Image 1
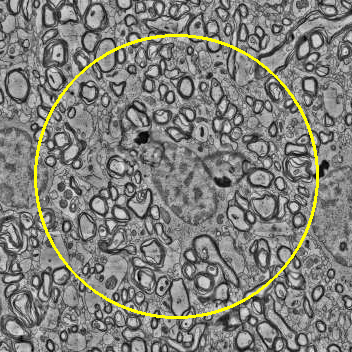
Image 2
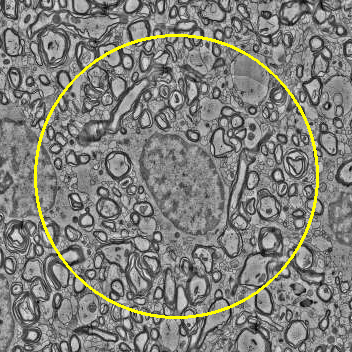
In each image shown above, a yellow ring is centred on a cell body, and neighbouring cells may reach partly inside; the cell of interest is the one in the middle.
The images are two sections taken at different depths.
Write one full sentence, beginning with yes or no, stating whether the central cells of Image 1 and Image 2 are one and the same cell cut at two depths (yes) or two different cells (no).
Yes, each ring singles out the same cell.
